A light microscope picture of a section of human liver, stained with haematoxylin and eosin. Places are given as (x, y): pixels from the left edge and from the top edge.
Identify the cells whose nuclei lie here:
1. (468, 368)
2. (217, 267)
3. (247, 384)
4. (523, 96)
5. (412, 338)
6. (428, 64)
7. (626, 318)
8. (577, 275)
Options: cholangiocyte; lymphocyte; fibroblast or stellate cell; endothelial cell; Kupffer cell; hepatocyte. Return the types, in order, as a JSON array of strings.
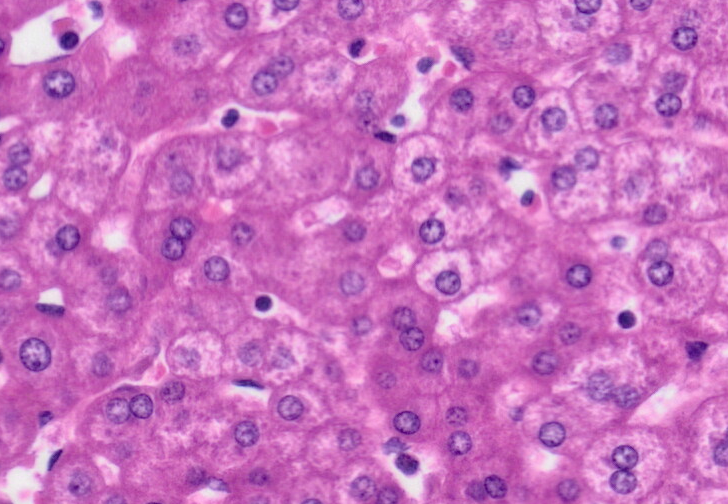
["hepatocyte", "hepatocyte", "endothelial cell", "hepatocyte", "hepatocyte", "lymphocyte", "lymphocyte", "hepatocyte"]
